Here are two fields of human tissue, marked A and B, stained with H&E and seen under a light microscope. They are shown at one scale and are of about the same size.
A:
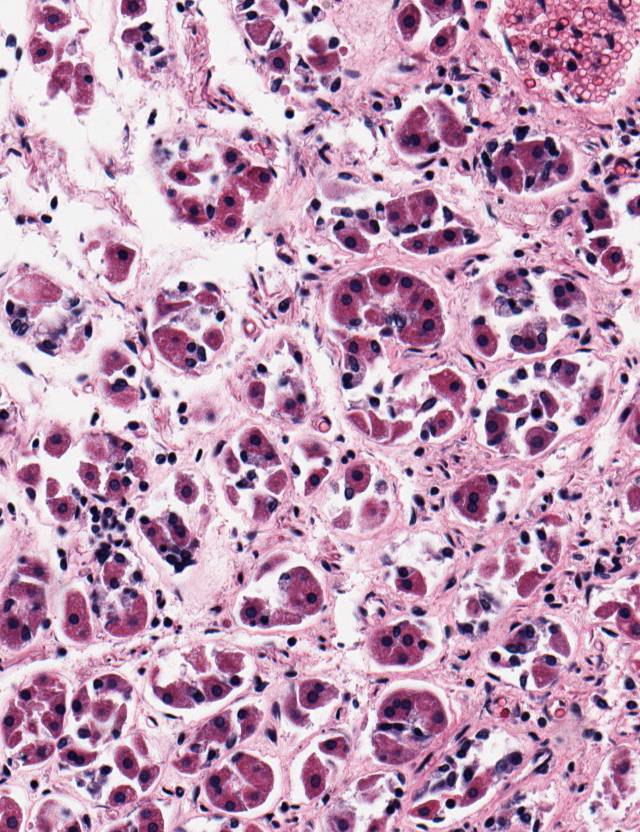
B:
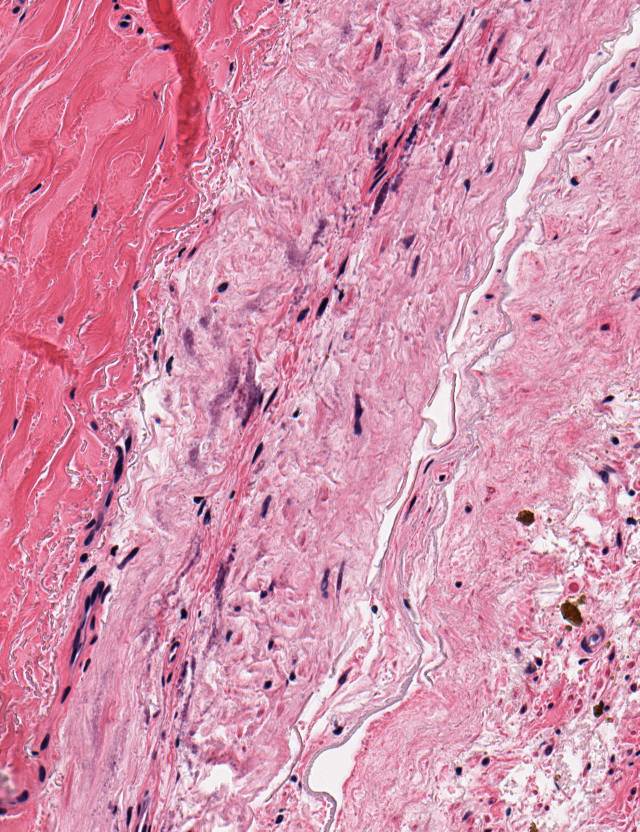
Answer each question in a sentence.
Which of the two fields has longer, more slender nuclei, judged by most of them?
On the whole the nuclei of picture B are more drawn out than those of picture A.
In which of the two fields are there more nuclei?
The larger number of nuclei is in picture A.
